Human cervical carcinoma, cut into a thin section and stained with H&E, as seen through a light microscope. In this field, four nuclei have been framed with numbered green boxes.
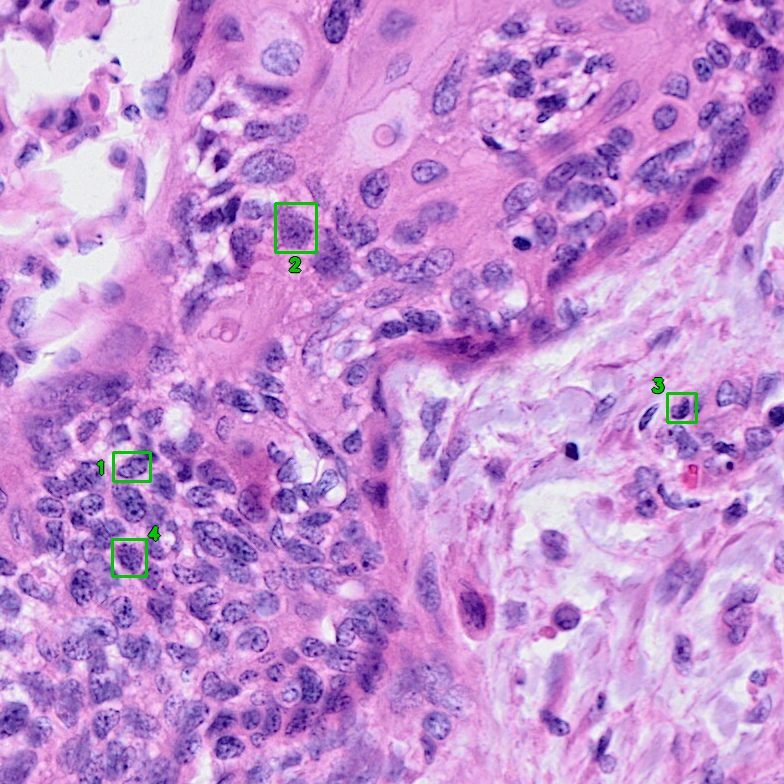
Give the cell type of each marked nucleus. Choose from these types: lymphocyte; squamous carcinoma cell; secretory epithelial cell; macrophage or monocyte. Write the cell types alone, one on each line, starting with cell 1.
squamous carcinoma cell
squamous carcinoma cell
lymphocyte
squamous carcinoma cell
